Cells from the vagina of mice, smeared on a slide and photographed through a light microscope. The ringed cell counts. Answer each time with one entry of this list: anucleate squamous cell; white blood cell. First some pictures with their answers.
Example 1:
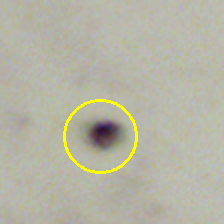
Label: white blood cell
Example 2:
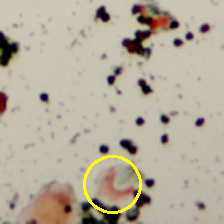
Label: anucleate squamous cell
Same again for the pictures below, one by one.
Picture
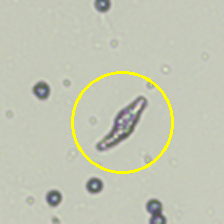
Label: anucleate squamous cell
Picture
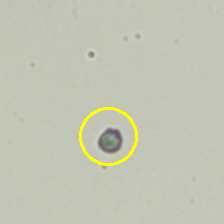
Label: white blood cell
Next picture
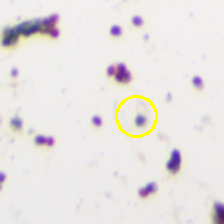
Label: white blood cell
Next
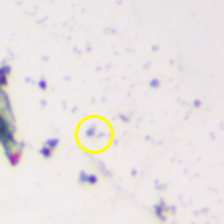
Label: white blood cell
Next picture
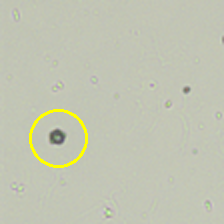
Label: white blood cell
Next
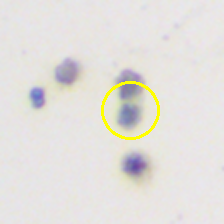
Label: white blood cell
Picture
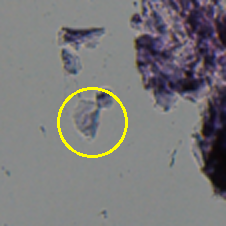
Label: anucleate squamous cell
